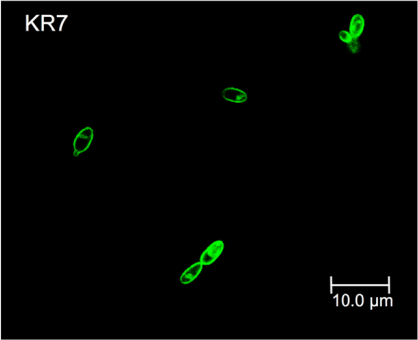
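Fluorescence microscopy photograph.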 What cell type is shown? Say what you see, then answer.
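Yeast. Small oval cells a few micrometres long. Some cells bear an attached smaller bud.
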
